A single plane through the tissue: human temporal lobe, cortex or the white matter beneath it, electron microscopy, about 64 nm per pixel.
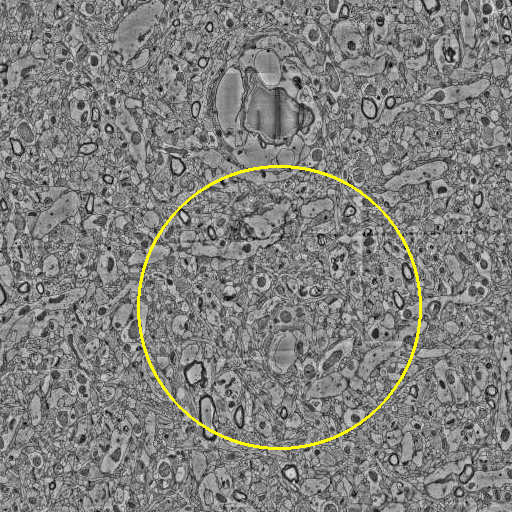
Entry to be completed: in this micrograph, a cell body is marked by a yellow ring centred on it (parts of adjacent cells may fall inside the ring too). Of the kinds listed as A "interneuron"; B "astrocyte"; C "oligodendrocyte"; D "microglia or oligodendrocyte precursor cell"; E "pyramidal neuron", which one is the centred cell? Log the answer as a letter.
C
